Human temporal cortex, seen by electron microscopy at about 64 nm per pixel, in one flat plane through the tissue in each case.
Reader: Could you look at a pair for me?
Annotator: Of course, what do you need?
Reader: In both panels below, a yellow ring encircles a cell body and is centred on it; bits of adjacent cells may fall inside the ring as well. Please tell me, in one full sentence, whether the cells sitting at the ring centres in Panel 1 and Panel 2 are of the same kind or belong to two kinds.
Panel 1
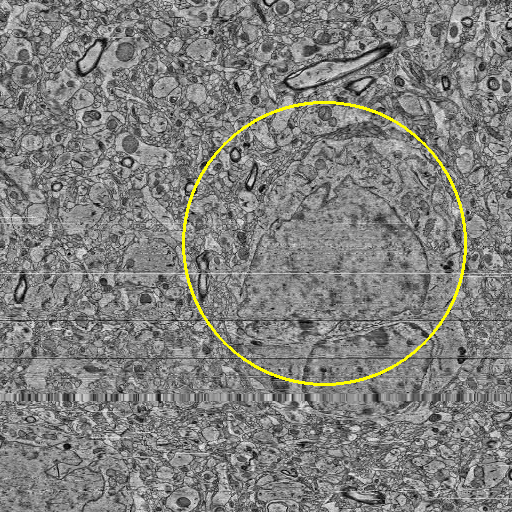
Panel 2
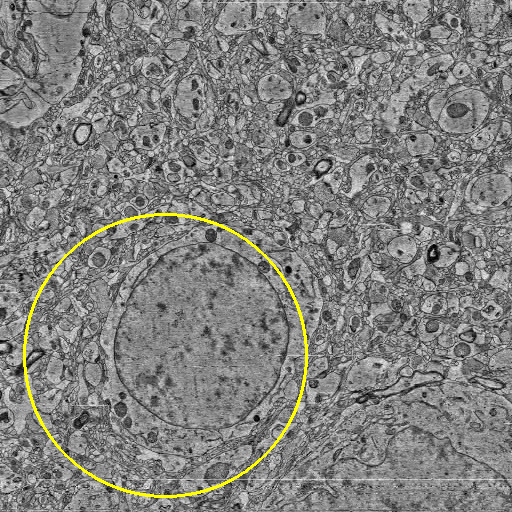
The cell at the ring's centre in Panel 1 and the one in Panel 2 belong to two kinds.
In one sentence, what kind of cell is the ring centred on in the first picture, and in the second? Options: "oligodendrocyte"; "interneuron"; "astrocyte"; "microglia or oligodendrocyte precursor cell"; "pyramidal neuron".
The cell at the centre of the second ring is a pyramidal neuron; the first ring's cell is an interneuron.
